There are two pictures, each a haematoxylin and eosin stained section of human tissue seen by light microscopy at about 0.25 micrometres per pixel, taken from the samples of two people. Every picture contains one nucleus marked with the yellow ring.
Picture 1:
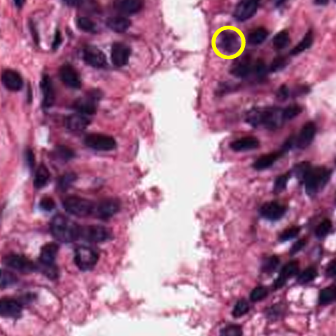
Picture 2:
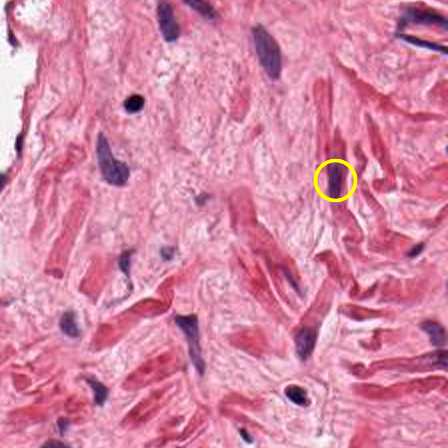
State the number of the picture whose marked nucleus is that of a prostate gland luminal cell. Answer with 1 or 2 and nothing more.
1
